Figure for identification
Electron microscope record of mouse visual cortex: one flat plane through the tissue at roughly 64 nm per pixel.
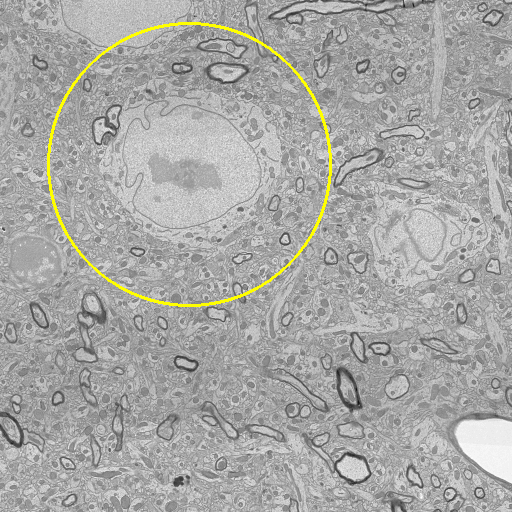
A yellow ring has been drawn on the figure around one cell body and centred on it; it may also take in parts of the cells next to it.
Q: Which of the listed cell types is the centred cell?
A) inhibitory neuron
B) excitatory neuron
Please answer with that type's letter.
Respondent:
B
